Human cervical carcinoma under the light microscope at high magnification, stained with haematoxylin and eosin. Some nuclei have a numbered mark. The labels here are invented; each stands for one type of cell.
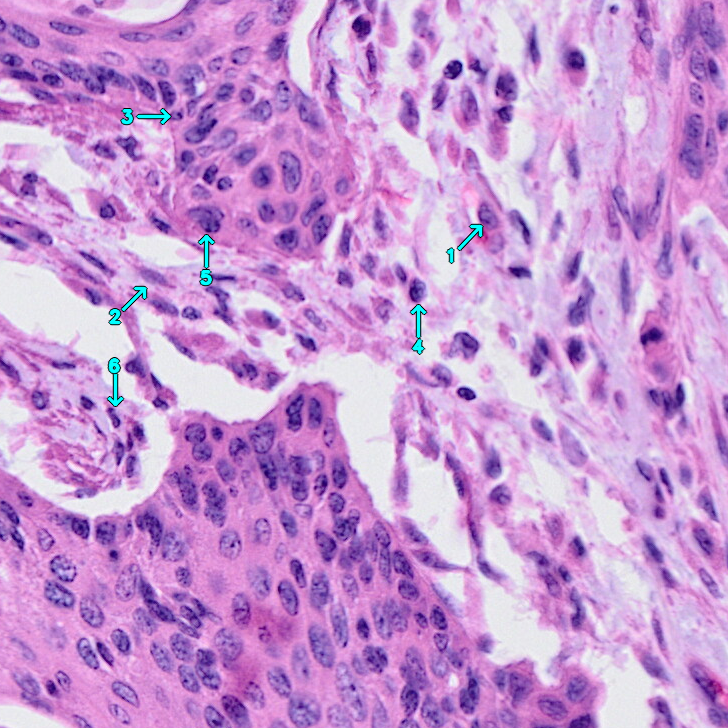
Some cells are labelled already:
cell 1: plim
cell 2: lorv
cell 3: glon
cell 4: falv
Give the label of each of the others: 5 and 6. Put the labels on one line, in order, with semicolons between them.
glon; lorv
